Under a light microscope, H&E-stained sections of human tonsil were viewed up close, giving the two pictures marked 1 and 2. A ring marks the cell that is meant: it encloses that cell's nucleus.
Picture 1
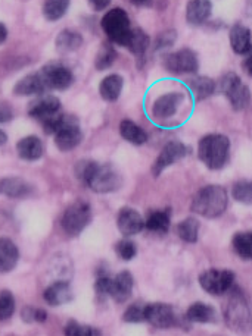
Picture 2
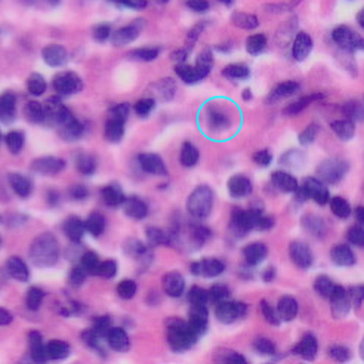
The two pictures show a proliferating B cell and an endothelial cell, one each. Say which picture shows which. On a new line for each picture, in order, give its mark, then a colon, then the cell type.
1: proliferating B cell
2: endothelial cell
